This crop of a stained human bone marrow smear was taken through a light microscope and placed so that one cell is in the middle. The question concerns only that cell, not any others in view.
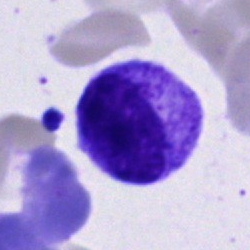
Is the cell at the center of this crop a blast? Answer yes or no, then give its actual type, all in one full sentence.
No, the central cell is designated a promyelocyte and not a blast.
